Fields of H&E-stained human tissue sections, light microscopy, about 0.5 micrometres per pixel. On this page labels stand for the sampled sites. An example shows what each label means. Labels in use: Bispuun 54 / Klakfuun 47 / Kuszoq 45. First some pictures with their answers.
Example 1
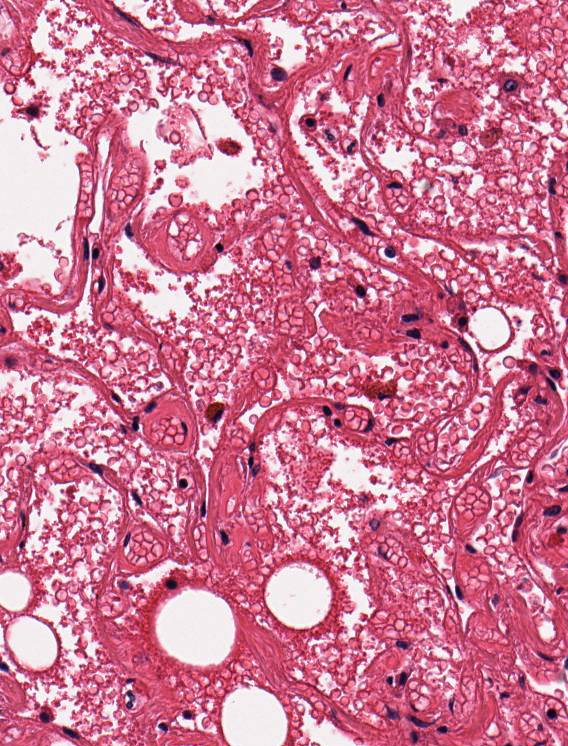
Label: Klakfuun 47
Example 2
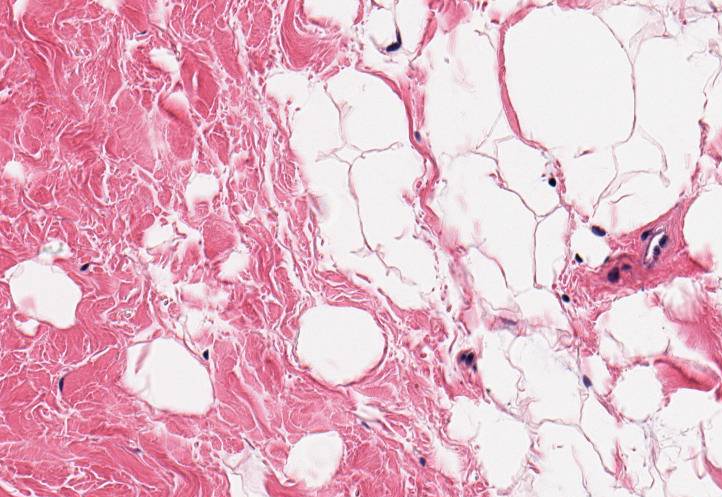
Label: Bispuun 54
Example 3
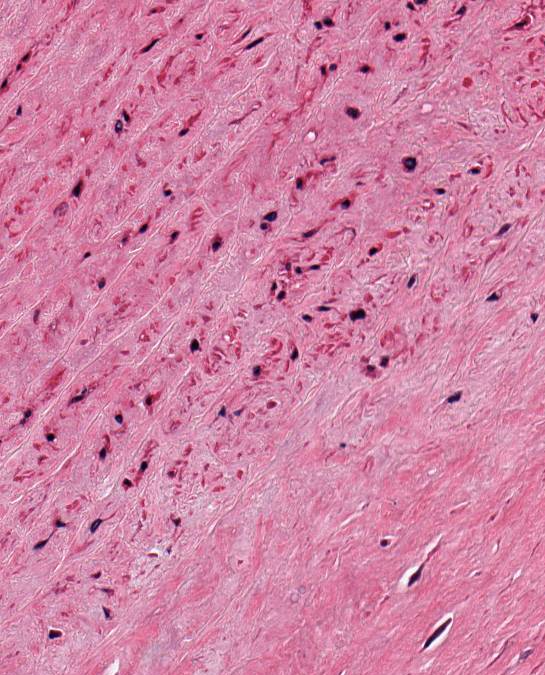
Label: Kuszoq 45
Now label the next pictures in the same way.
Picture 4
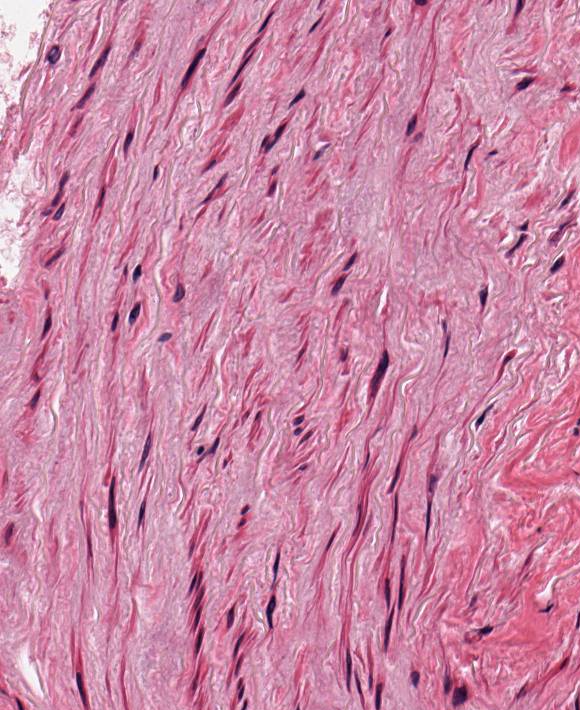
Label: Kuszoq 45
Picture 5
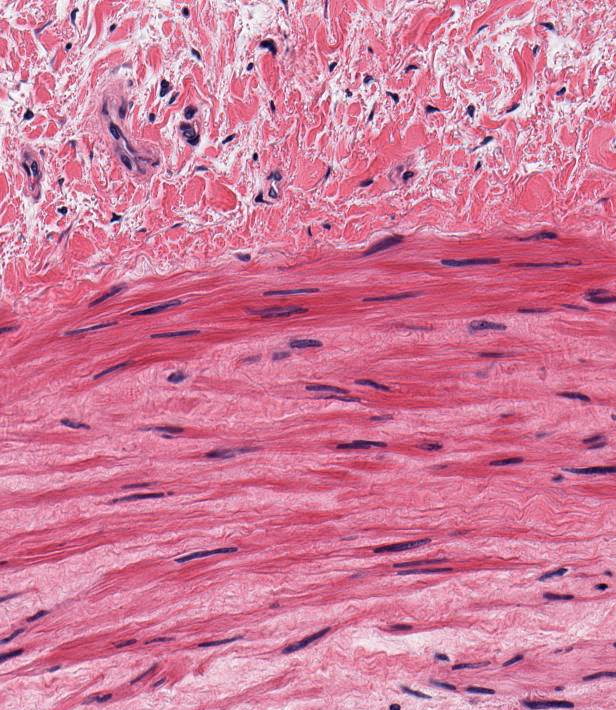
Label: Bispuun 54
